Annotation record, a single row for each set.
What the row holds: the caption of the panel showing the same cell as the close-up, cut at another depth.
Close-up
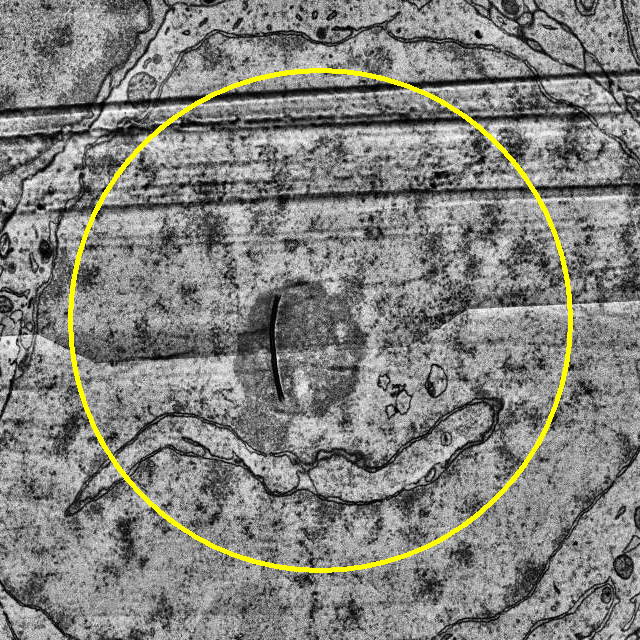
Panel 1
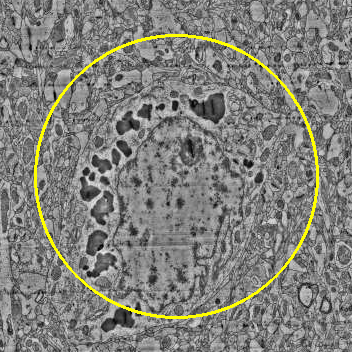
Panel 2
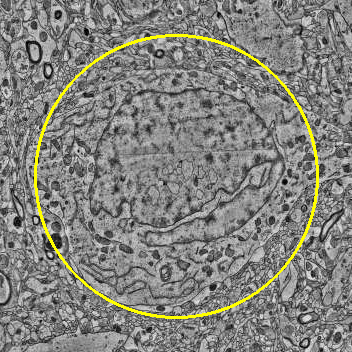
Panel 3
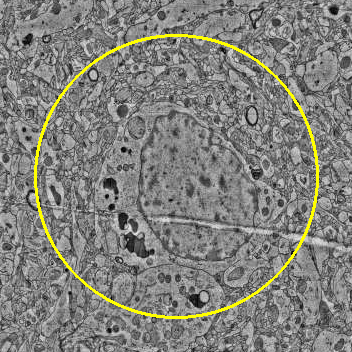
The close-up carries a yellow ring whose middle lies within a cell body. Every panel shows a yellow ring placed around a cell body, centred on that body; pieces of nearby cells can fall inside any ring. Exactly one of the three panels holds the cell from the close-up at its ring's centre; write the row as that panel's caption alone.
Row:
Panel 2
